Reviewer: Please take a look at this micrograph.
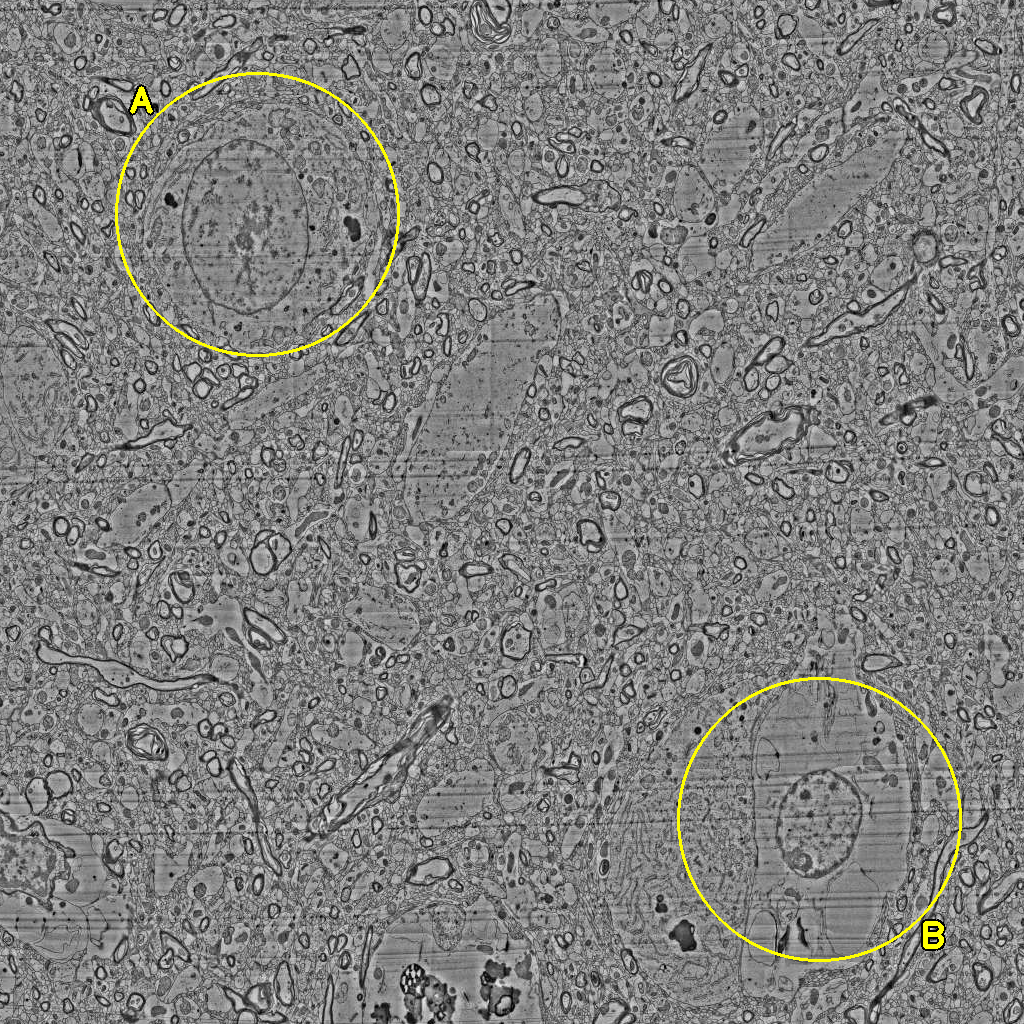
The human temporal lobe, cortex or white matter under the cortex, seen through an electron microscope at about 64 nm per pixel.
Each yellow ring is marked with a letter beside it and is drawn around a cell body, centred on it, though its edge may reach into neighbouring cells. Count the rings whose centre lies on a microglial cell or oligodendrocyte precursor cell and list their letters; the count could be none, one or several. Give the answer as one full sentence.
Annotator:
The count for rings centred on a microglial cell or oligodendrocyte precursor cell is zero, since no such ring exists here.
